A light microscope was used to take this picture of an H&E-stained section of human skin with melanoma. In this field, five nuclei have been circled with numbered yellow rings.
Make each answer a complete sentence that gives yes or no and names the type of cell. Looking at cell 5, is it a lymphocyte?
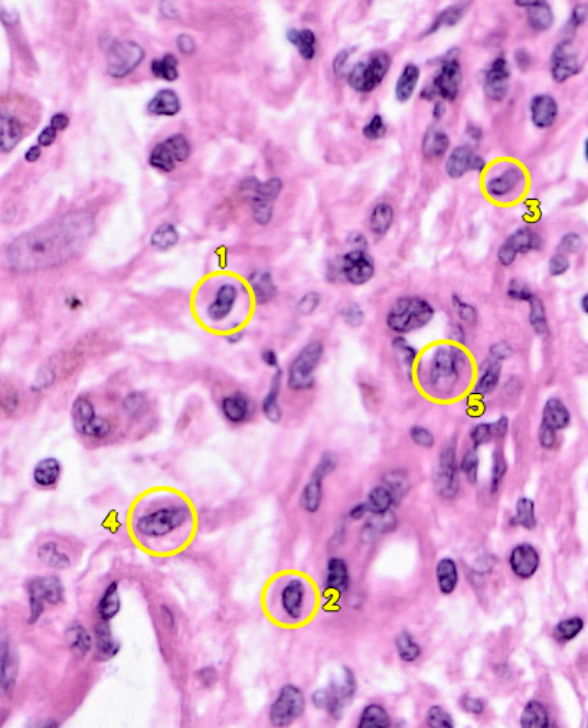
No, cell 5 counts as an endothelial cell rather than as a lymphocyte.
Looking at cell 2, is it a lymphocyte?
Yes, the cell that has number 2 is a lymphocyte.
